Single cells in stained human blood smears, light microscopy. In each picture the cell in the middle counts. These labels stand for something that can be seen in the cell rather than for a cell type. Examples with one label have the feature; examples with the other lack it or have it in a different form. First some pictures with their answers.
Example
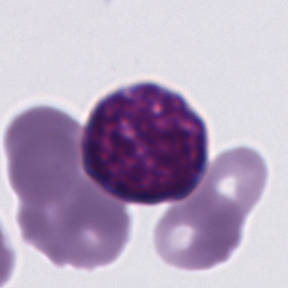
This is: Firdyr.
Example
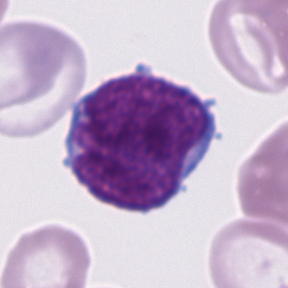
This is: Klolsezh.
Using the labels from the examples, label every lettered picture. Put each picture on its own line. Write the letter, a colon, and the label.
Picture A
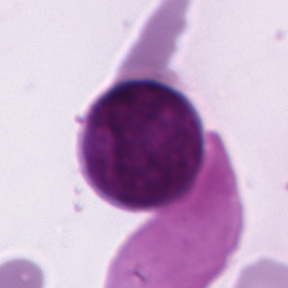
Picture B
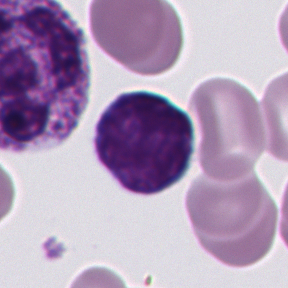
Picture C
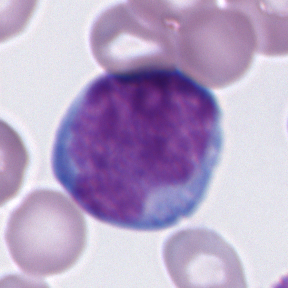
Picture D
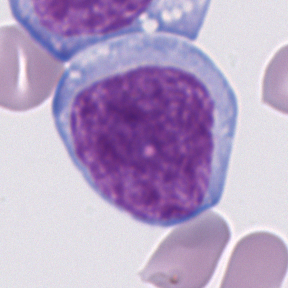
A: Firdyr.
B: Firdyr.
C: Firdyr.
D: Firdyr.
